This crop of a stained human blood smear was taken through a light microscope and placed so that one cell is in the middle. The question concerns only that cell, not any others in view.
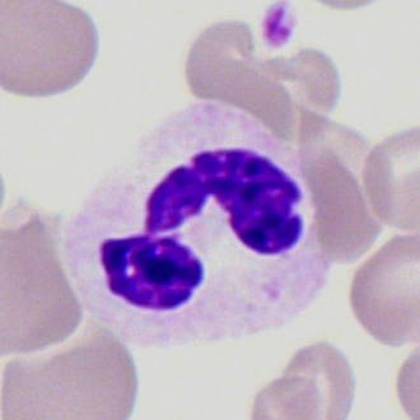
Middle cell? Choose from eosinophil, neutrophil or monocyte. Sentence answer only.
Positioned in the middle of the crop is a neutrophil.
